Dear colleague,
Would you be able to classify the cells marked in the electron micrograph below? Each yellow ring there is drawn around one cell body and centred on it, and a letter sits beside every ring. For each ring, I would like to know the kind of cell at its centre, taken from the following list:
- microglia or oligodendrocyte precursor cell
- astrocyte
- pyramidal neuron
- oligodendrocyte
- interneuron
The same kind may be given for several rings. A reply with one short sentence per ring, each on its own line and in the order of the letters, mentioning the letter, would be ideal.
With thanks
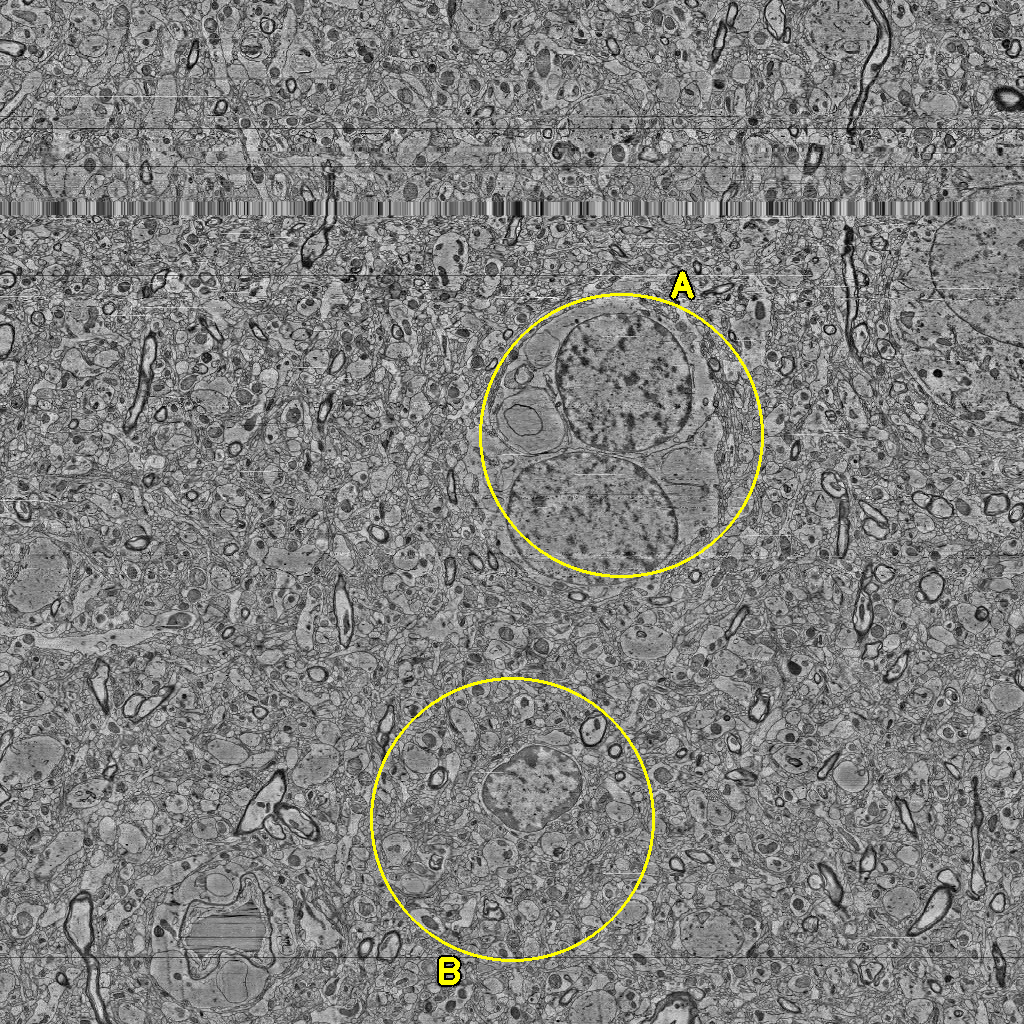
Ring A contains an astrocyte at its centre.
Ring B contains a microglial cell or oligodendrocyte precursor cell at its centre.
